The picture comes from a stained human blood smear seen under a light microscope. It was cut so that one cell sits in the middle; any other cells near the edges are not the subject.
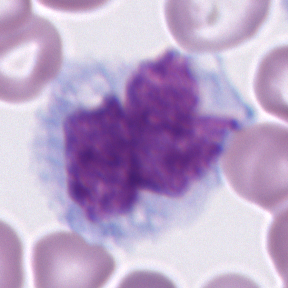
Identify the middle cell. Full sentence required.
This crop is built around a monocyte at its centre.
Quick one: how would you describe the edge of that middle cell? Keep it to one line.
A ragged or projecting edge replaces the smooth outline in this cell.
